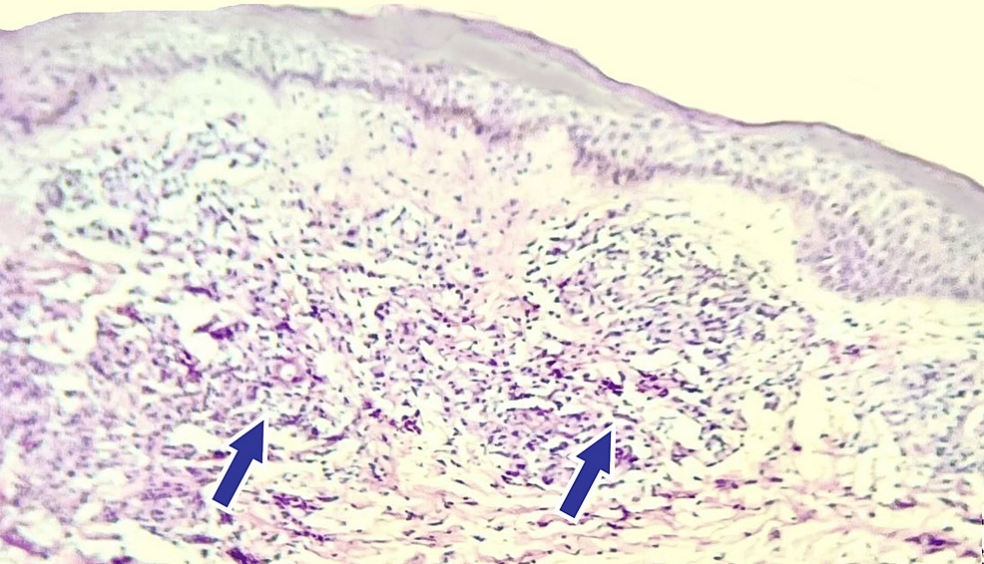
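This is a section of skin. Between the clusters, the dermis looks loose and pale, with wispy pink collagen and open clear spaces, which suggests swelling. The densest collections lie in the mid-dermis below the epidermis. Deeper down, the collagen bundles are more fibrillar and hold scattered single cells.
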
